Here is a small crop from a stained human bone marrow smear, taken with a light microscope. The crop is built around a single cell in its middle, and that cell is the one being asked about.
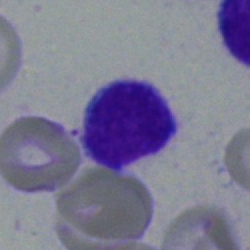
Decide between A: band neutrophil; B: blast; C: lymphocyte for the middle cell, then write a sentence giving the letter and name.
Option C is correct; the cell in the middle is a lymphocyte.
